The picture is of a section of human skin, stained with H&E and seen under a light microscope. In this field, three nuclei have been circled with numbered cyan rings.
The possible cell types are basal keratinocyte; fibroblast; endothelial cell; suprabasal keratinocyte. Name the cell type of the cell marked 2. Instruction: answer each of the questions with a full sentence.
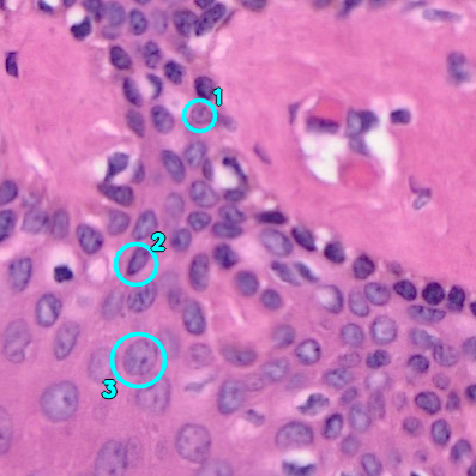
The nucleus labeled 2 belongs to a basal keratinocyte.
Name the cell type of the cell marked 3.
Number 3 is placed on a suprabasal keratinocyte here.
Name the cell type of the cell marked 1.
Cell 1, as marked in the section, is a basal keratinocyte.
